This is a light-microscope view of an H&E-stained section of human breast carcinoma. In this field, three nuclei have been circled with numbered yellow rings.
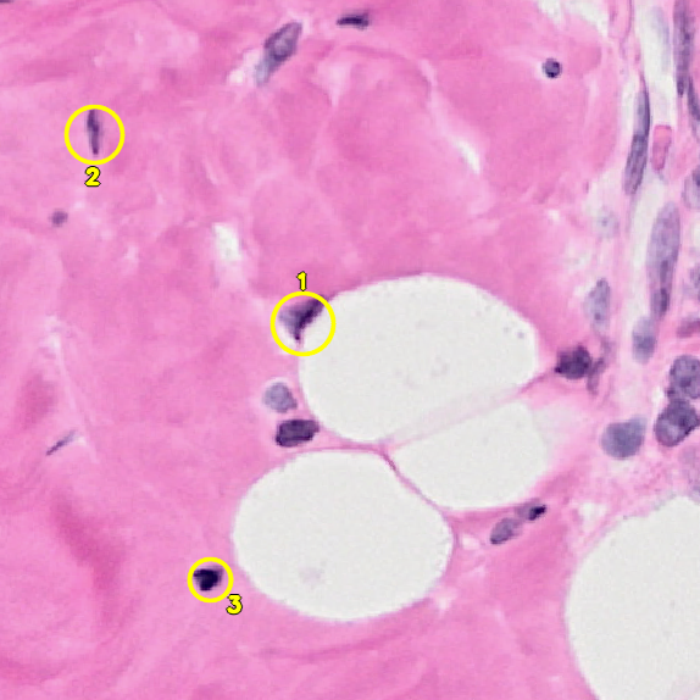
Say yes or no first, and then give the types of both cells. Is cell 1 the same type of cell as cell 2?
Yes, that is right: cells 1 and 2 are both fibroblasts.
